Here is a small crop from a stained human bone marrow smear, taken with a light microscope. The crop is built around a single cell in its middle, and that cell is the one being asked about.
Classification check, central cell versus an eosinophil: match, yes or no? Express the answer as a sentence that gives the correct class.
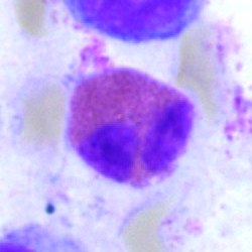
Yes, the cell centred in the field of view is an eosinophil.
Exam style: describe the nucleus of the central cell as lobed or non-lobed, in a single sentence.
Rather than a single mass, the nucleus forms two or more lobes.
